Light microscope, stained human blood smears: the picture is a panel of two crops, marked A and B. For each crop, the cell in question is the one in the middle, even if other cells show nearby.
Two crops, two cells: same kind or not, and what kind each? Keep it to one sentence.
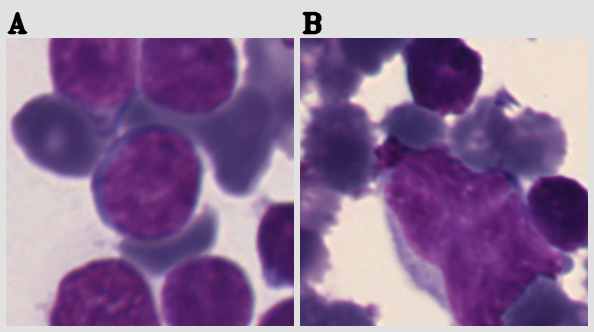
Yes, these two crops both show myeloblasts.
